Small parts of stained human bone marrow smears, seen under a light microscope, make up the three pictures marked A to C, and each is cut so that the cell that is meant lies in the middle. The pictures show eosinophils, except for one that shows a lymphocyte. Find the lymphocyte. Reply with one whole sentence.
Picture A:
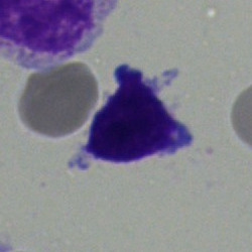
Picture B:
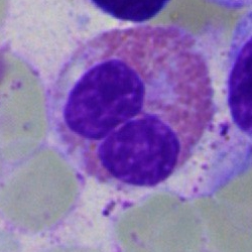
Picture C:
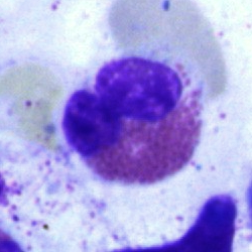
Picture A shows the lymphocyte.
